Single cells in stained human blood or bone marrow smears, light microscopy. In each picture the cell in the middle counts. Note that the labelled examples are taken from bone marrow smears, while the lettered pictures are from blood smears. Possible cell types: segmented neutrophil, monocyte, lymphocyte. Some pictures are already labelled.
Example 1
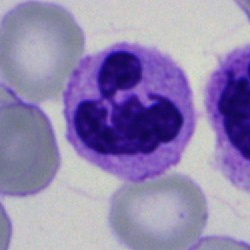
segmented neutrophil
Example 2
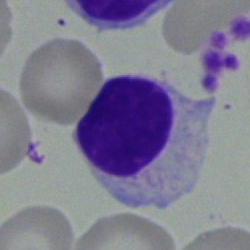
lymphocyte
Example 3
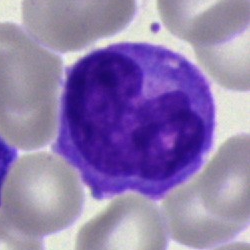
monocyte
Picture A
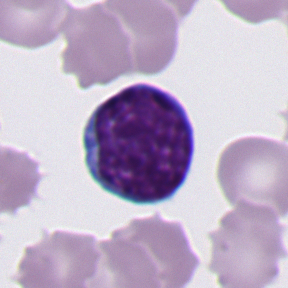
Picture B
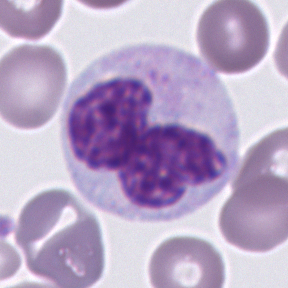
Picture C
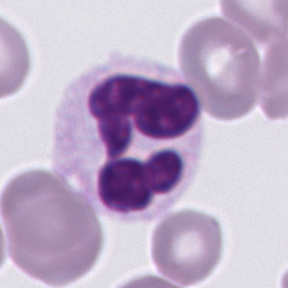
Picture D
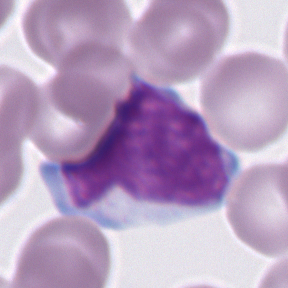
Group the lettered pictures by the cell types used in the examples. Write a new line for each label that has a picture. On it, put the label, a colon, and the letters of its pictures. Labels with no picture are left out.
segmented neutrophil: B, C
lymphocyte: A, D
